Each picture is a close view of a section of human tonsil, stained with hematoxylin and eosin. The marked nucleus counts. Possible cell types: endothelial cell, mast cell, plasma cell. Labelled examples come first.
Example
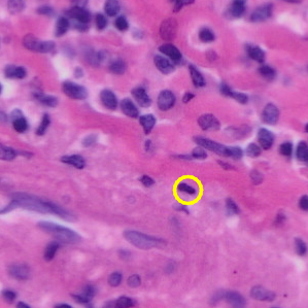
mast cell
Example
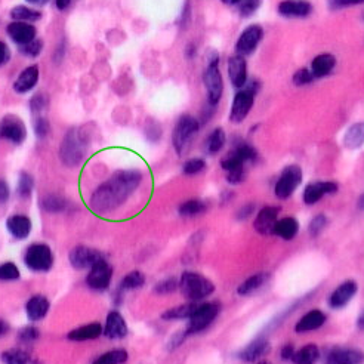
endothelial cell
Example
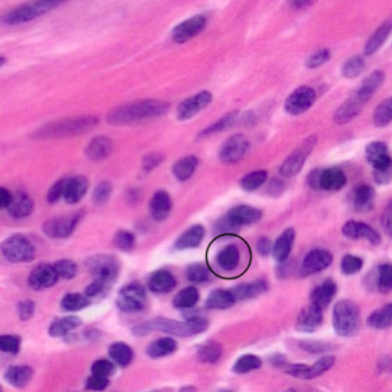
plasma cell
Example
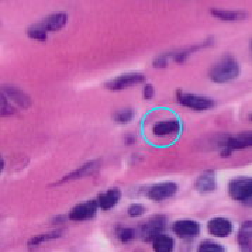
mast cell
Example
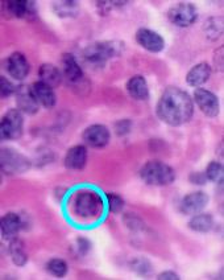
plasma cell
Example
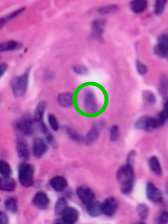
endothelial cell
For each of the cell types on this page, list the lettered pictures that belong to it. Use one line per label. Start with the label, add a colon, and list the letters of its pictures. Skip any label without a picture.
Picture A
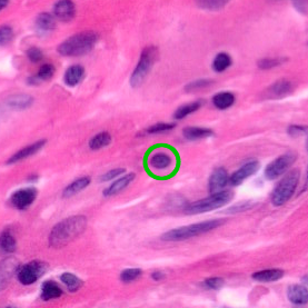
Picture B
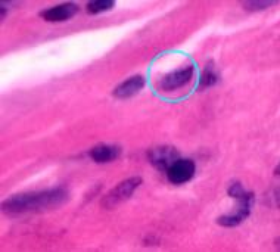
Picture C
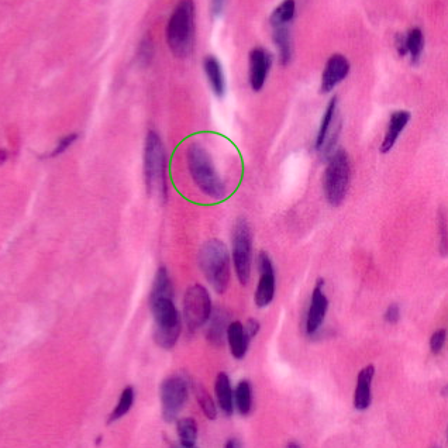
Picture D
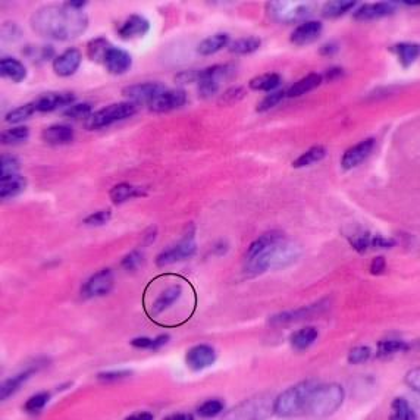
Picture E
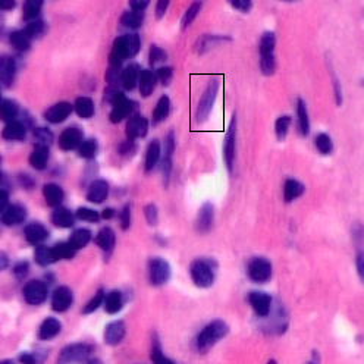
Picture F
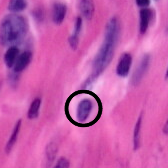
endothelial cell: C, E
mast cell: A, B, D, F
